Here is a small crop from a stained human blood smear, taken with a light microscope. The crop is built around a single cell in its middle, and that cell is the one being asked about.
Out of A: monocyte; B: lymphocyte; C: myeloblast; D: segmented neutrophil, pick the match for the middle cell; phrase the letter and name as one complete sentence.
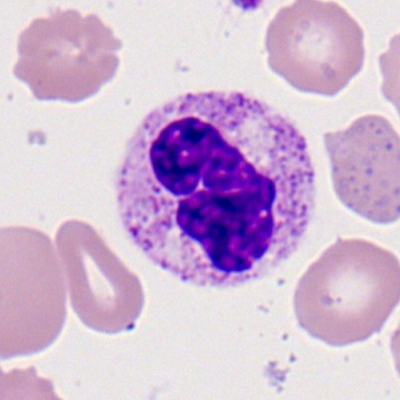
Since the cell in the middle is a segmented neutrophil, option D is correct.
